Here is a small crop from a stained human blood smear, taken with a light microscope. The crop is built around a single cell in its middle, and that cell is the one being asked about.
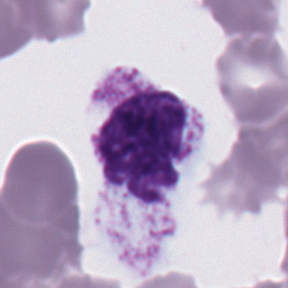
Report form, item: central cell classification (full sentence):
In short, the cell at the center is a basophil.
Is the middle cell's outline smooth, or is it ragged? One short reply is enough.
Instead of a smooth edge, this cell has an irregular one, ragged or with projections.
